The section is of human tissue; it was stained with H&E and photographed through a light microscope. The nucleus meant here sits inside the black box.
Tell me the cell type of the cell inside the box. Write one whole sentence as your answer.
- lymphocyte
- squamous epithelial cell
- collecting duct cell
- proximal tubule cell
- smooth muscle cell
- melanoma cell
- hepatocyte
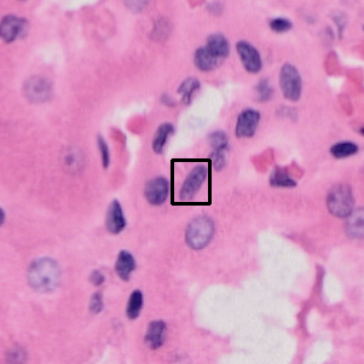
The cell meant here is a collecting duct cell.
